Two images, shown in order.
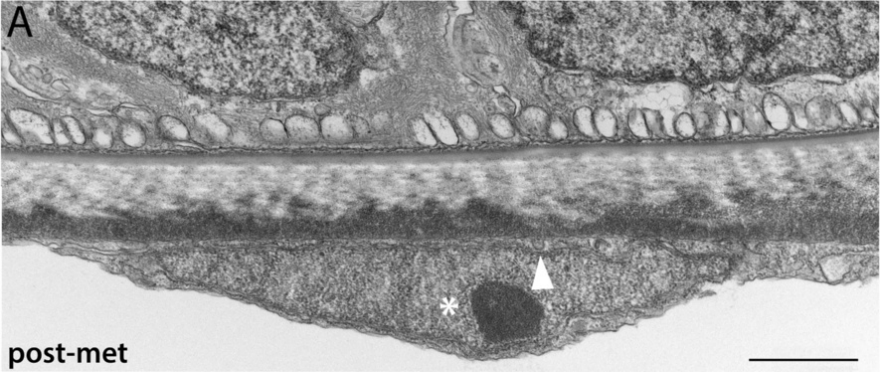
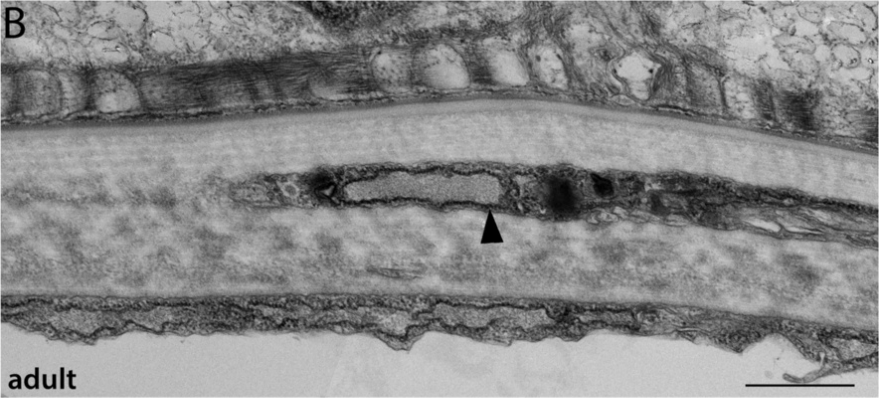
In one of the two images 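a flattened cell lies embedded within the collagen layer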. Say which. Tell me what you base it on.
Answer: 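Second image: an elongated cell profile sits inside the middle of the pale collagen layer. First image: the collagen layer is continuous, with cells only above and below it.
Conclusion: the second image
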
